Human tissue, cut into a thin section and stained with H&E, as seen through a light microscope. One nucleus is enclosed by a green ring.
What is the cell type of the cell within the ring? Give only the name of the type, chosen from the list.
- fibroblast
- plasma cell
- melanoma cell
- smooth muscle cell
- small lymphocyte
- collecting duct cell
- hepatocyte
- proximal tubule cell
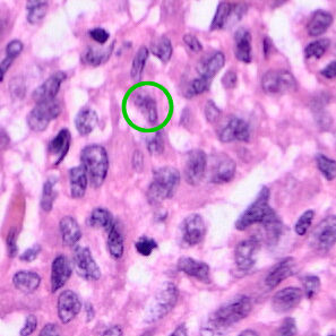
melanoma cell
